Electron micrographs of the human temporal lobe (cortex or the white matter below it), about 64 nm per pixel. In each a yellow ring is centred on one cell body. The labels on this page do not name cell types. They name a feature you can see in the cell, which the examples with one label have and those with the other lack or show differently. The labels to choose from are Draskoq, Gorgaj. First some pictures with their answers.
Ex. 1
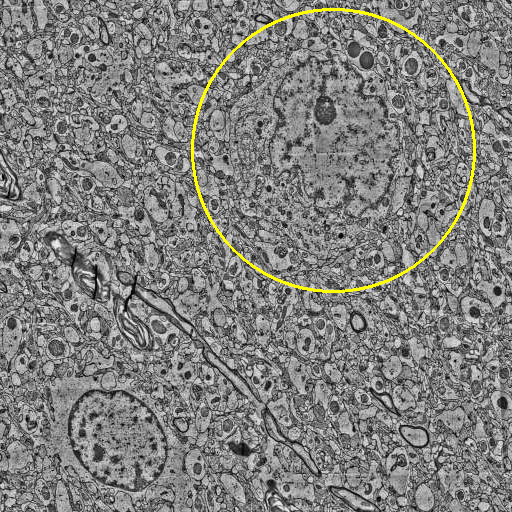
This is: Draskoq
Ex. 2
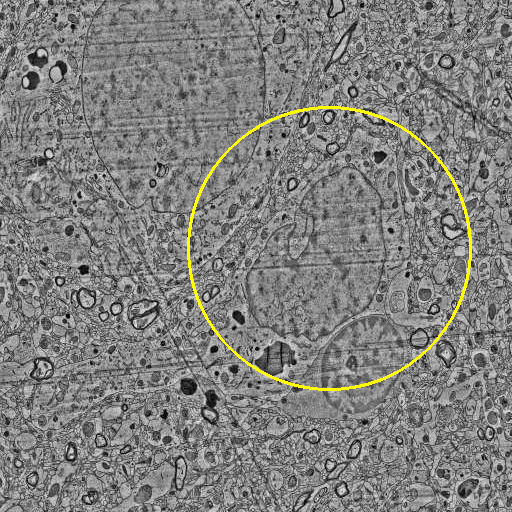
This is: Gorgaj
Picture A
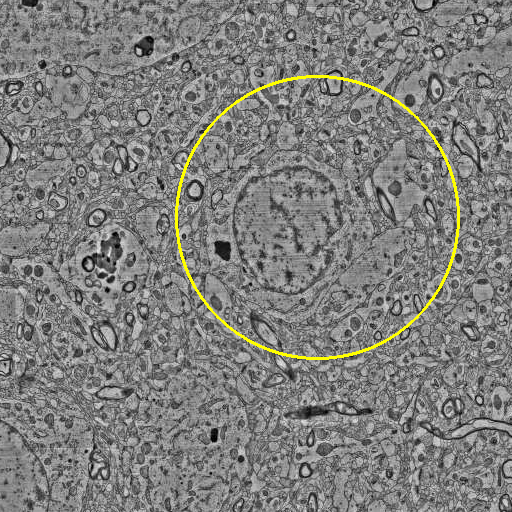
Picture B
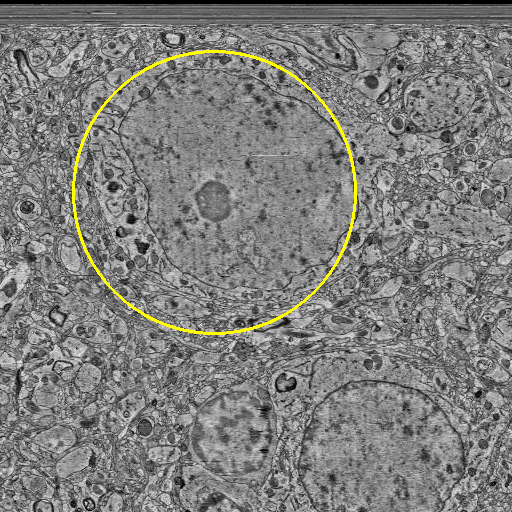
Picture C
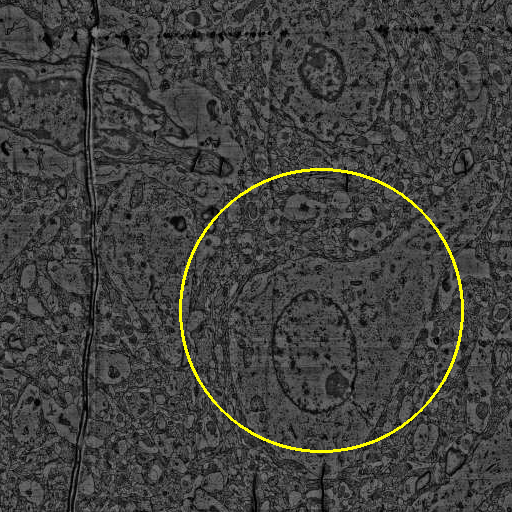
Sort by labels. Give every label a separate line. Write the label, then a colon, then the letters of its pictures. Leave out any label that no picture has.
Draskoq: B, C
Gorgaj: A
